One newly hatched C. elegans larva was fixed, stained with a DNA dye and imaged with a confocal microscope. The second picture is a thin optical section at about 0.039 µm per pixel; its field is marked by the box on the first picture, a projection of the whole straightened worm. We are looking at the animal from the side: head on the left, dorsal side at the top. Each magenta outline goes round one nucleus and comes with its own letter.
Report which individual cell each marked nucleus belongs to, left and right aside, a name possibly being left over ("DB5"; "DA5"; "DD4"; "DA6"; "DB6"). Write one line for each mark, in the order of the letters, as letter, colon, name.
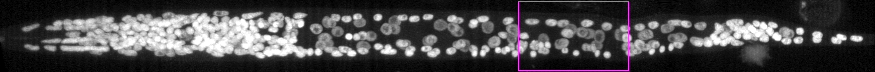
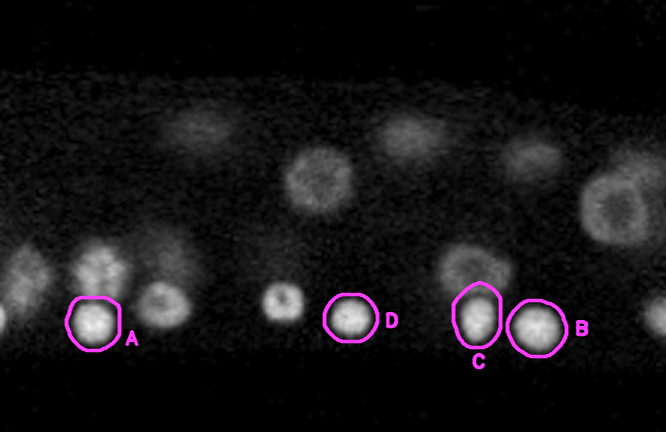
A: DA5
B: DA6
C: DB6
D: DD4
